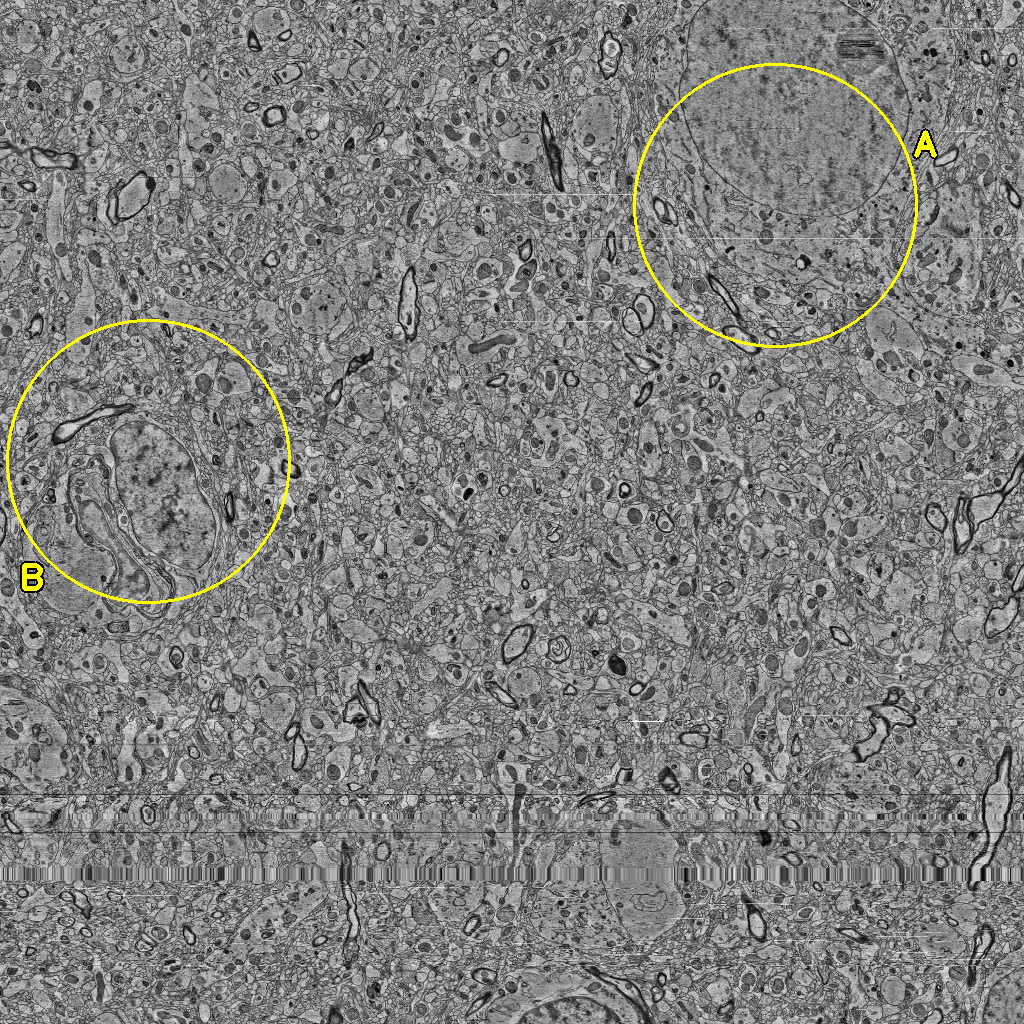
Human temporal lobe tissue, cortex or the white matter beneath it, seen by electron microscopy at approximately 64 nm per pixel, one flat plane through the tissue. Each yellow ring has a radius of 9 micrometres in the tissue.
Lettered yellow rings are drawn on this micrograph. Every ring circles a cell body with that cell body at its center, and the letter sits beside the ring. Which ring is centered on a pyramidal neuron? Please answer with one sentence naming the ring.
Ring A has it at its center.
